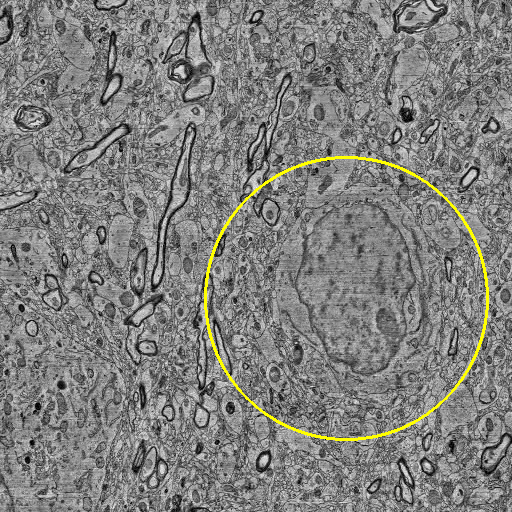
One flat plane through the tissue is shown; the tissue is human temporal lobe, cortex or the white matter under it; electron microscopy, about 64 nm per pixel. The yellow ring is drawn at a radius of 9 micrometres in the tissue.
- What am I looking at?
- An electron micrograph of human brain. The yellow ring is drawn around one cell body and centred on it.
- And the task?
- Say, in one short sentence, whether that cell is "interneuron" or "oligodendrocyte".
The cell in the middle of the ring is an interneuron.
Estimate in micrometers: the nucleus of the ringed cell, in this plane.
About 11 by 8 micrometers, in this plane.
